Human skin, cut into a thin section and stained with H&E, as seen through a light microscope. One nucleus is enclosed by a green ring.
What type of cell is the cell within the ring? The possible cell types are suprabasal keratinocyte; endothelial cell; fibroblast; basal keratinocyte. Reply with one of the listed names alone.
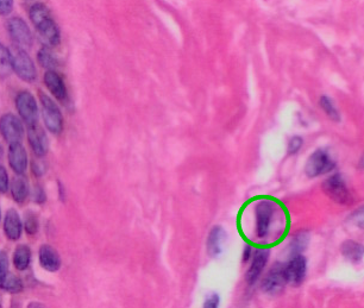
endothelial cell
